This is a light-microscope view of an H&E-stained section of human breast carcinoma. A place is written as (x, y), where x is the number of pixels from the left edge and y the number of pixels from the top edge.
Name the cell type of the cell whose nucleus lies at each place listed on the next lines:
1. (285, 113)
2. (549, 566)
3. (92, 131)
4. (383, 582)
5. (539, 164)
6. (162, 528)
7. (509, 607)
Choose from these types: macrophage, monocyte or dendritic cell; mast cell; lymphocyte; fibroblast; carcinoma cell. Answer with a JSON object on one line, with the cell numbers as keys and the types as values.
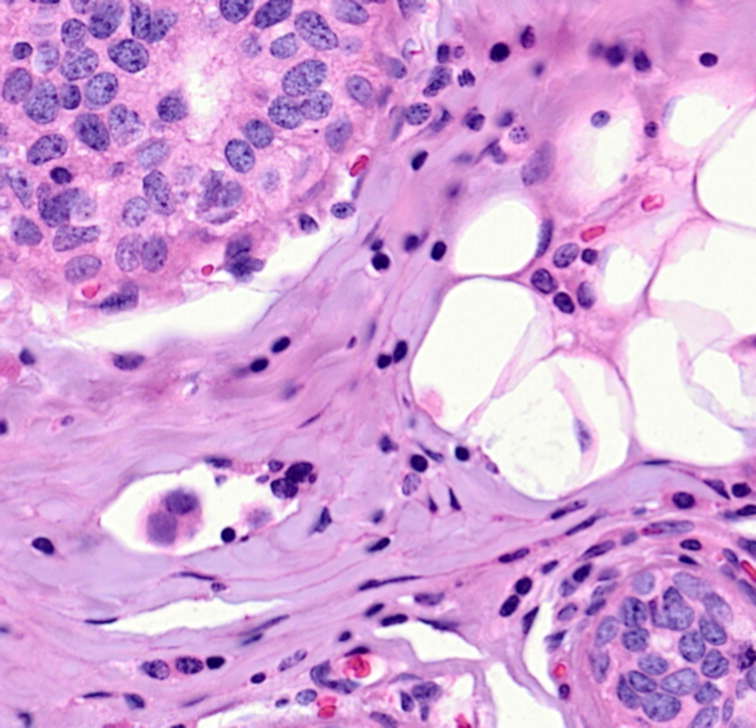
{"1": "carcinoma cell", "2": "lymphocyte", "3": "carcinoma cell", "4": "fibroblast", "5": "fibroblast", "6": "carcinoma cell", "7": "lymphocyte"}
